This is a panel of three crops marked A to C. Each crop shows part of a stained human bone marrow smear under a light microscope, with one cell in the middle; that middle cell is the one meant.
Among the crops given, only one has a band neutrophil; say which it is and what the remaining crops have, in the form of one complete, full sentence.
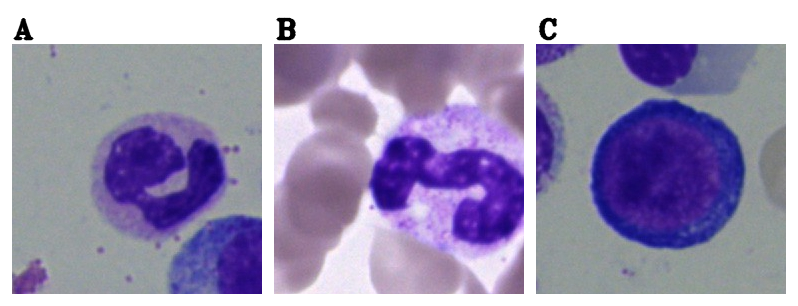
The cell shown in crop B is a band neutrophil, whereas crop A is a segmented neutrophil and crop C is a proerythroblast.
